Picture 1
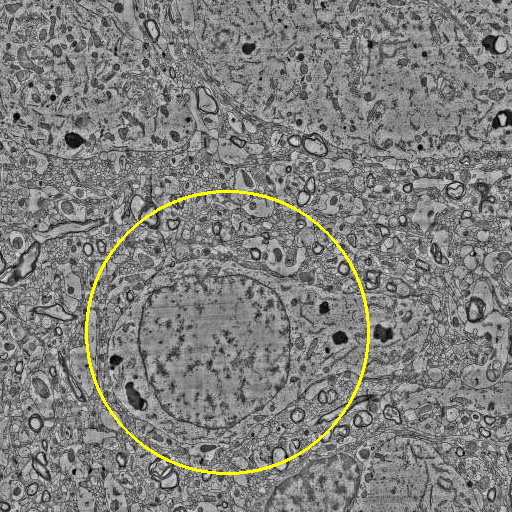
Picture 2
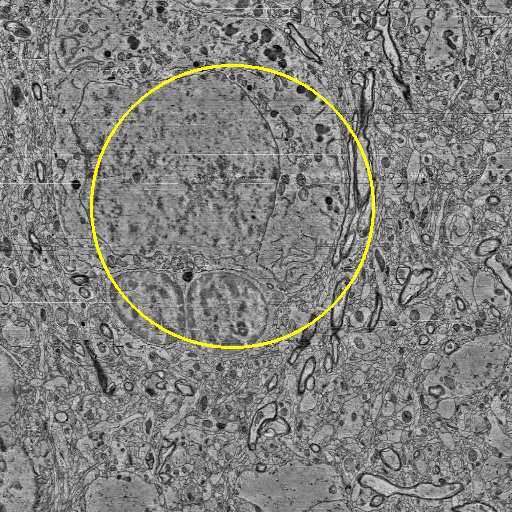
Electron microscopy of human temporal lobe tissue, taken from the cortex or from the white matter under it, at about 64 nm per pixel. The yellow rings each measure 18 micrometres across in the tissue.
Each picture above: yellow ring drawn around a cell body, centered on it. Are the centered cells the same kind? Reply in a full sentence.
Yes, the two cells are the same kind.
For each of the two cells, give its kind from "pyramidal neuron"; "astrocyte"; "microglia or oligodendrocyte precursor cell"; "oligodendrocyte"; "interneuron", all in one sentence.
In each picture the ringed cell is a pyramidal neuron.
